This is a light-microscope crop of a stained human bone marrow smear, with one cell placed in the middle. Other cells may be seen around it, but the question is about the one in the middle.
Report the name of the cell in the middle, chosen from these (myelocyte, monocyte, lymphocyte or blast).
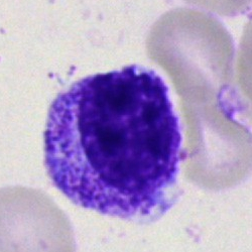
myelocyte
